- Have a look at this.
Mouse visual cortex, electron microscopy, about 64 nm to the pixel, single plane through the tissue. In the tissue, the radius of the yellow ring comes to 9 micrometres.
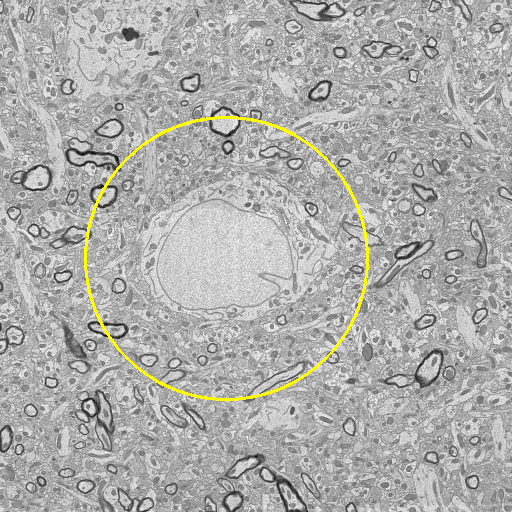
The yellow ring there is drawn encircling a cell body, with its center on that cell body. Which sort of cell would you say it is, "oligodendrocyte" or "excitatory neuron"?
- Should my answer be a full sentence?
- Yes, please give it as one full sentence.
For this picture, an excitatory neuron is the cell where the yellow ring has its center.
